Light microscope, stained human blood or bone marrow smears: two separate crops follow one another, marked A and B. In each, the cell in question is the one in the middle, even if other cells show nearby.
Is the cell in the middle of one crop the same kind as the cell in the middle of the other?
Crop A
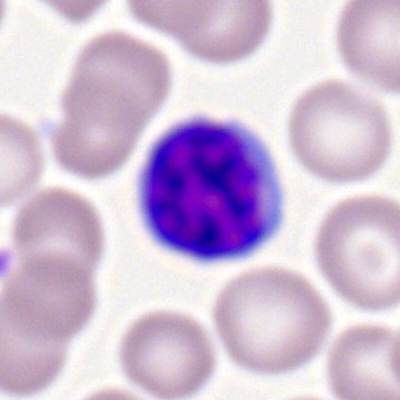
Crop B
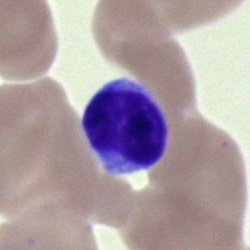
yes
